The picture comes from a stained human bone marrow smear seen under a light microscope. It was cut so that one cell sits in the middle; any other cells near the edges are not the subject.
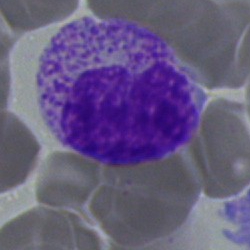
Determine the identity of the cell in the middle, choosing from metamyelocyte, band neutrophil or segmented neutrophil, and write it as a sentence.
The cell of interest, in the center, is a metamyelocyte.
